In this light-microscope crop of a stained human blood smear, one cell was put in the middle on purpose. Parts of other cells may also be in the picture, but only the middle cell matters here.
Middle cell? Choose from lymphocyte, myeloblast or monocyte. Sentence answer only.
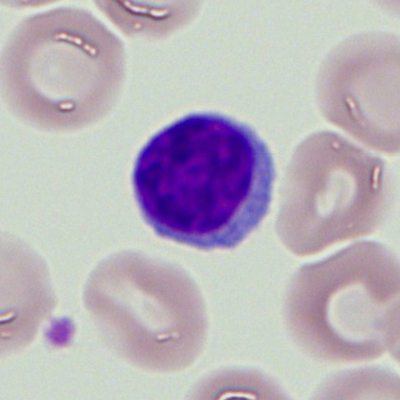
The centrally placed cell is classified as a lymphocyte.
